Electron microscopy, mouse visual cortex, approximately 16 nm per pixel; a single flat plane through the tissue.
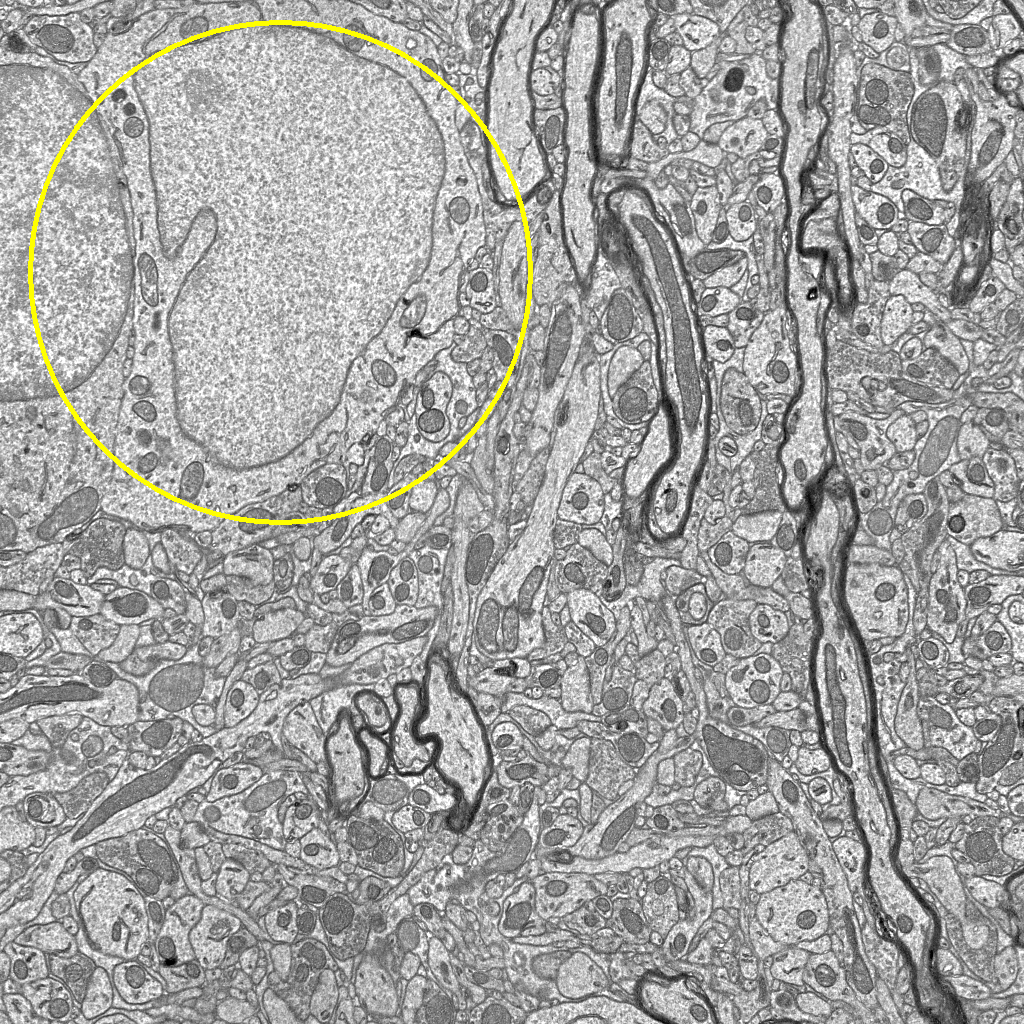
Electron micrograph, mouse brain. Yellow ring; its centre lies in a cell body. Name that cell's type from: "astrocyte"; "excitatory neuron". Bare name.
excitatory neuron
